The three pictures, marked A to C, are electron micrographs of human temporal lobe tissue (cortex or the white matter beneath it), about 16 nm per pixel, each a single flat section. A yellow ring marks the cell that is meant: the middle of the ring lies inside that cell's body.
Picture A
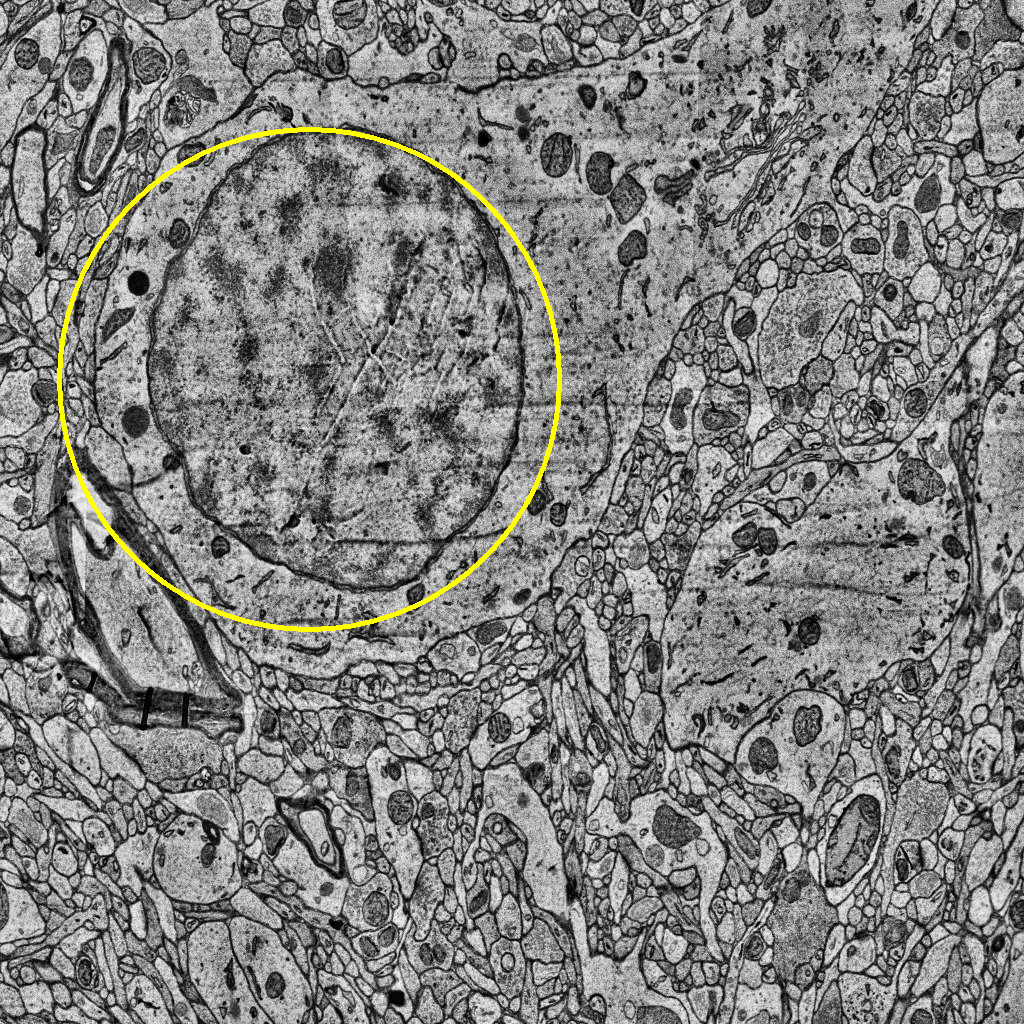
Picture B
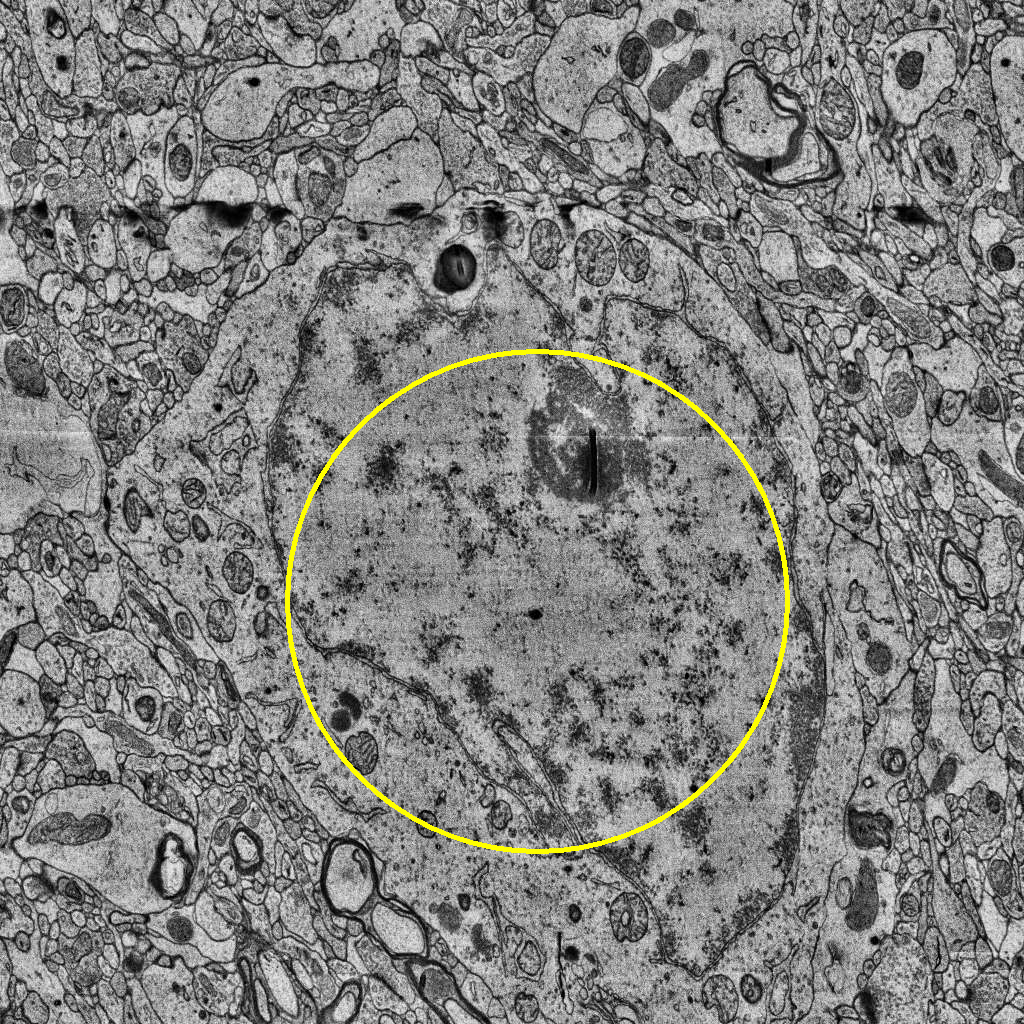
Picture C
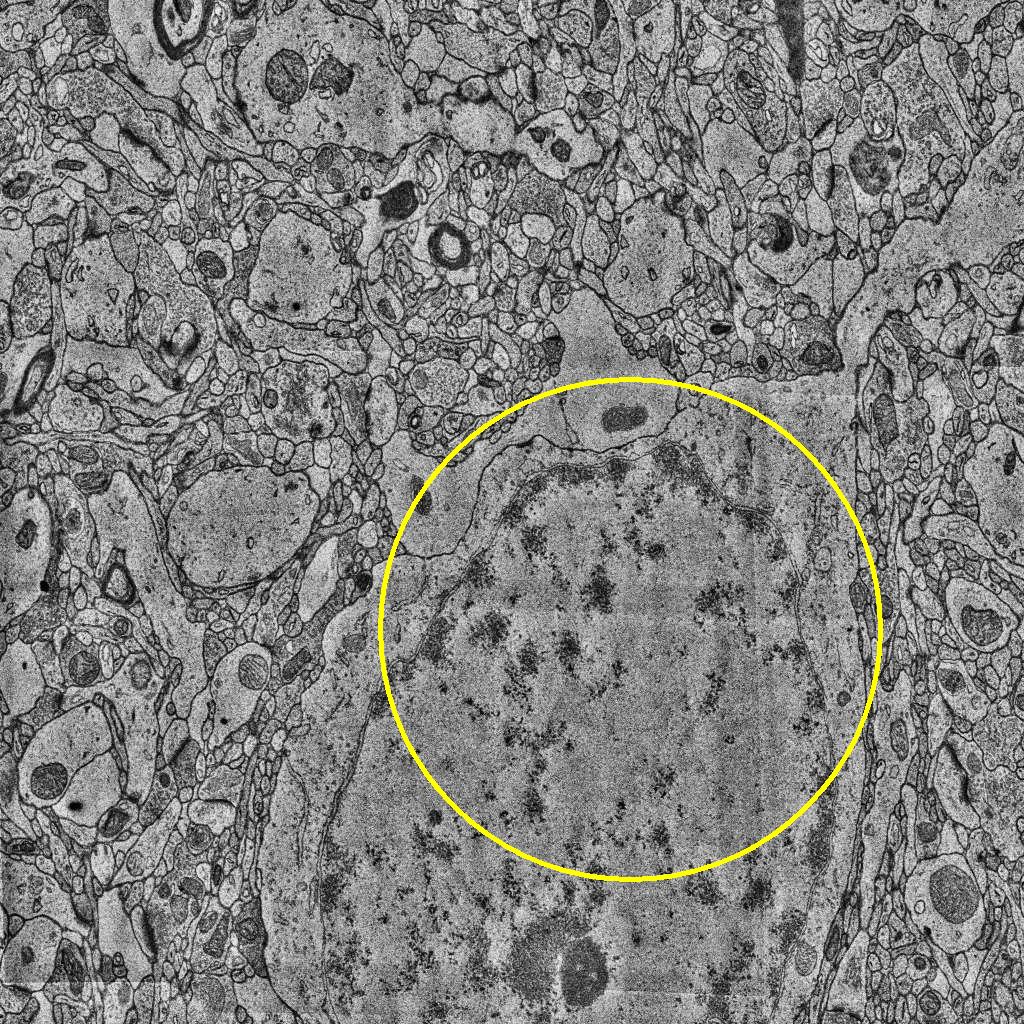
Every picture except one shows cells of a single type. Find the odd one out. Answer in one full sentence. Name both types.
The different one is picture A; it shows a pyramidal neuron, whereas all the others show interneurons.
